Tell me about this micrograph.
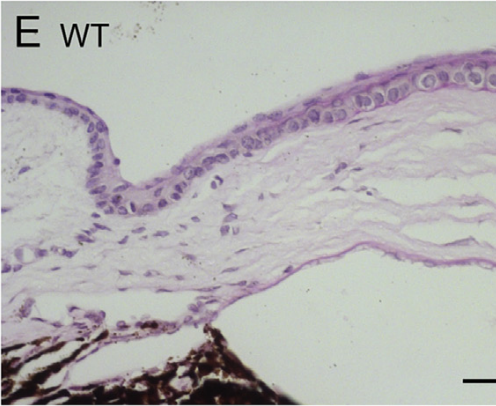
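This is the cornea near its periphery, covered by a stratified epithelium of several cell layers in which the cells have rounded nuclei and pale cytoplasm, resting on a thick, pale, loosely lamellar stroma with sparse flattened nuclei. A thin pink line lines the inner surface of the stroma, and darkly pigmented tissue lies beneath at the lower left.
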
